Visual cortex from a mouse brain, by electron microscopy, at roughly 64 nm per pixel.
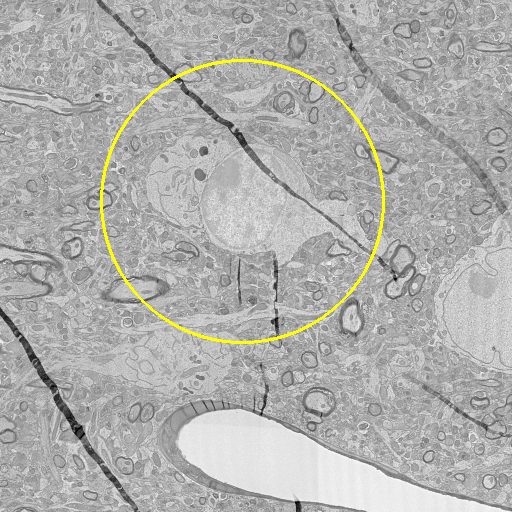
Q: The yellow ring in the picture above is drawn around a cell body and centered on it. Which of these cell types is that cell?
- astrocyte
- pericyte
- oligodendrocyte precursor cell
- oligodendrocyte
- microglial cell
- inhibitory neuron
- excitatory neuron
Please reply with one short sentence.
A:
The cell body at the ring's center belongs to an oligodendrocyte.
